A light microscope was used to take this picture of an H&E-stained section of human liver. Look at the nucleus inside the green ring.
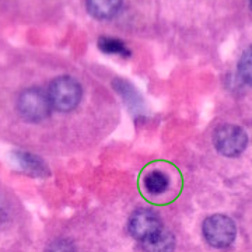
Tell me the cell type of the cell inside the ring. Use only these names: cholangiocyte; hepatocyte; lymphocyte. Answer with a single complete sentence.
Right, so the cell inside the ring is a lymphocyte, to answer that.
